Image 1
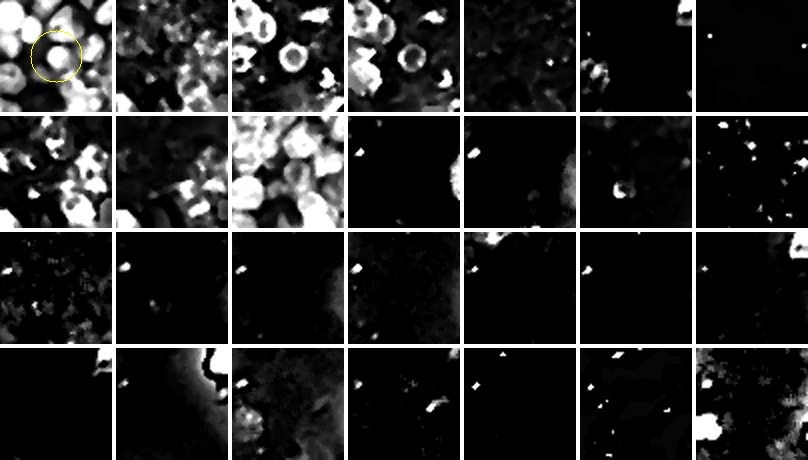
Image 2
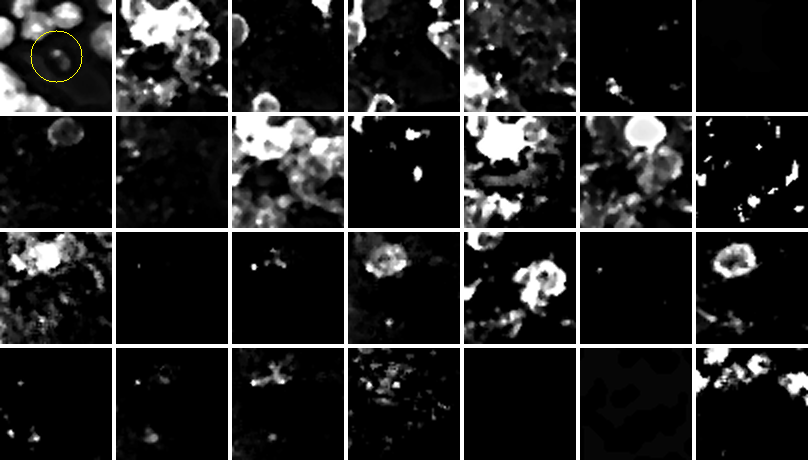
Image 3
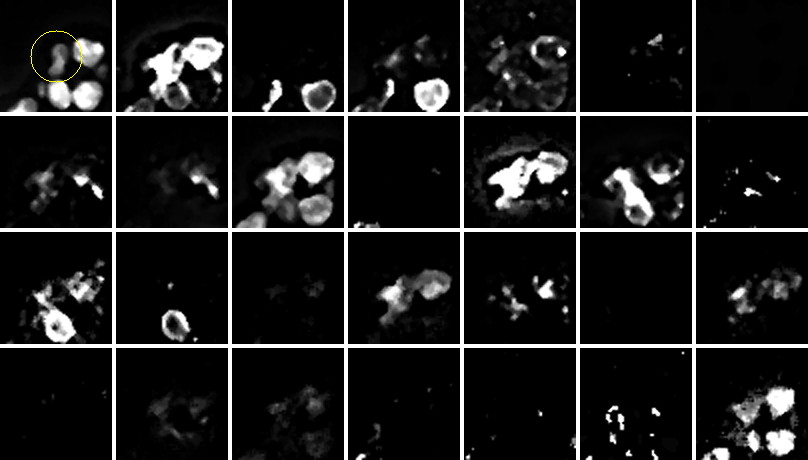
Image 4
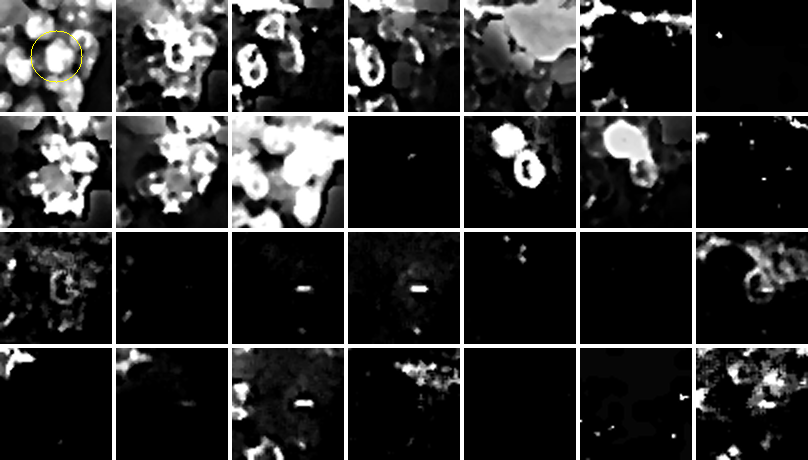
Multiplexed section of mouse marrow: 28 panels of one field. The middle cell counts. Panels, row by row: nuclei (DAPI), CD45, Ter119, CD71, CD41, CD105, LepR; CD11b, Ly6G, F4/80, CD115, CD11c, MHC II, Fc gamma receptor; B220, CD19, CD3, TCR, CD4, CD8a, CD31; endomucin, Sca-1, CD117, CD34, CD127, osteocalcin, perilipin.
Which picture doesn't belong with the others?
Picture 1.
